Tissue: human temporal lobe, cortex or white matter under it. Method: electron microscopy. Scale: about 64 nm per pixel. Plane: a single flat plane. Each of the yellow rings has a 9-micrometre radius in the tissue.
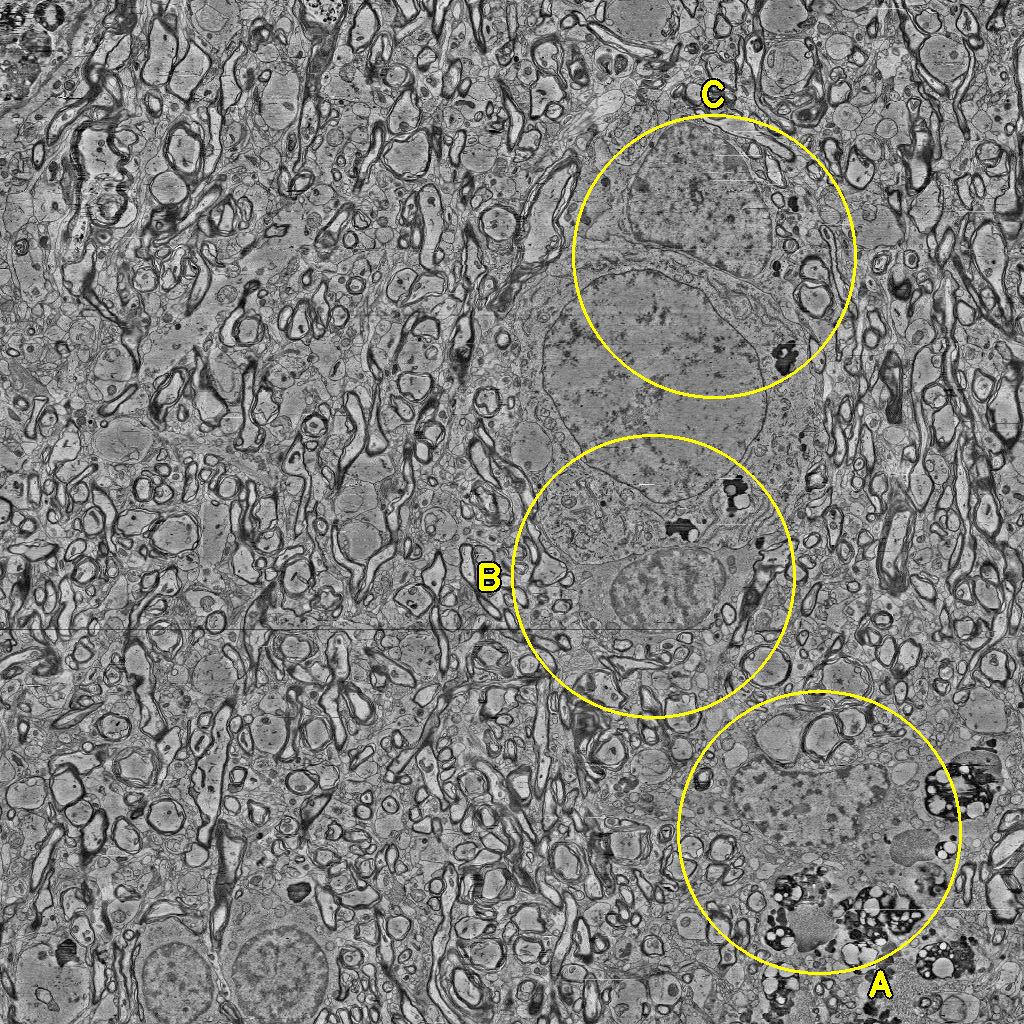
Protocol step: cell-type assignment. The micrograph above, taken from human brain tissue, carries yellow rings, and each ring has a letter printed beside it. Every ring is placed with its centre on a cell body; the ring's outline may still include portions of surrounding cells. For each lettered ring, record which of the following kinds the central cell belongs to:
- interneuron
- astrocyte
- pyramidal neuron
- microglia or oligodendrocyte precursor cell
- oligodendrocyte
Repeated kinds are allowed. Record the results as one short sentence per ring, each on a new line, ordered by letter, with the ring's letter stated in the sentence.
In ring A, the central cell is an astrocyte.
In ring B, the central cell is an oligodendrocyte.
In ring C, the central cell is a microglial cell or oligodendrocyte precursor cell.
